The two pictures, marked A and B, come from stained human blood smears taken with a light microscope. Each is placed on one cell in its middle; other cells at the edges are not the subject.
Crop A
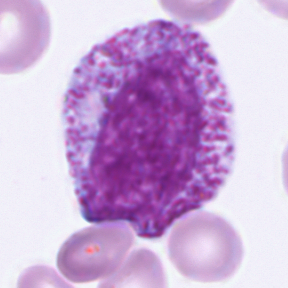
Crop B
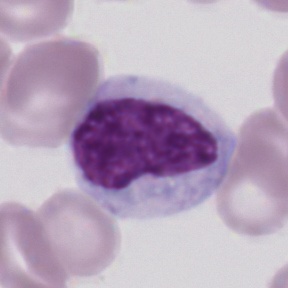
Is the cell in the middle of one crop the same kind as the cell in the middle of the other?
no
